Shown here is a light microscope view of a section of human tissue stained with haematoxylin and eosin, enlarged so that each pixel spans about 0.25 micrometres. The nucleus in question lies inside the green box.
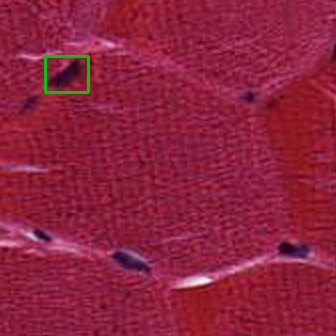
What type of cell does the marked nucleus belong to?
skeletal muscle fibre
